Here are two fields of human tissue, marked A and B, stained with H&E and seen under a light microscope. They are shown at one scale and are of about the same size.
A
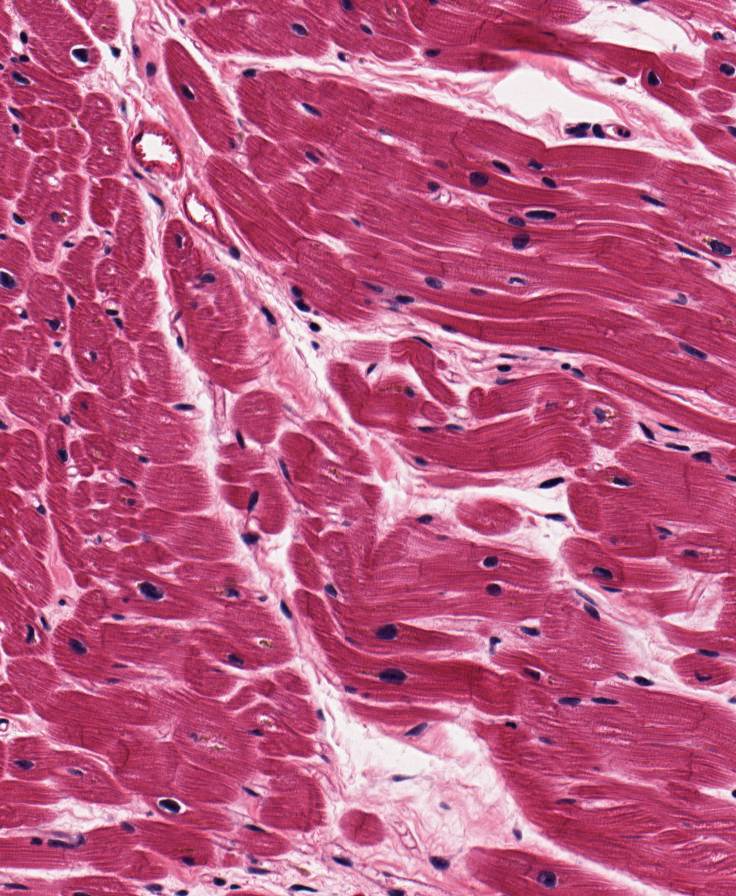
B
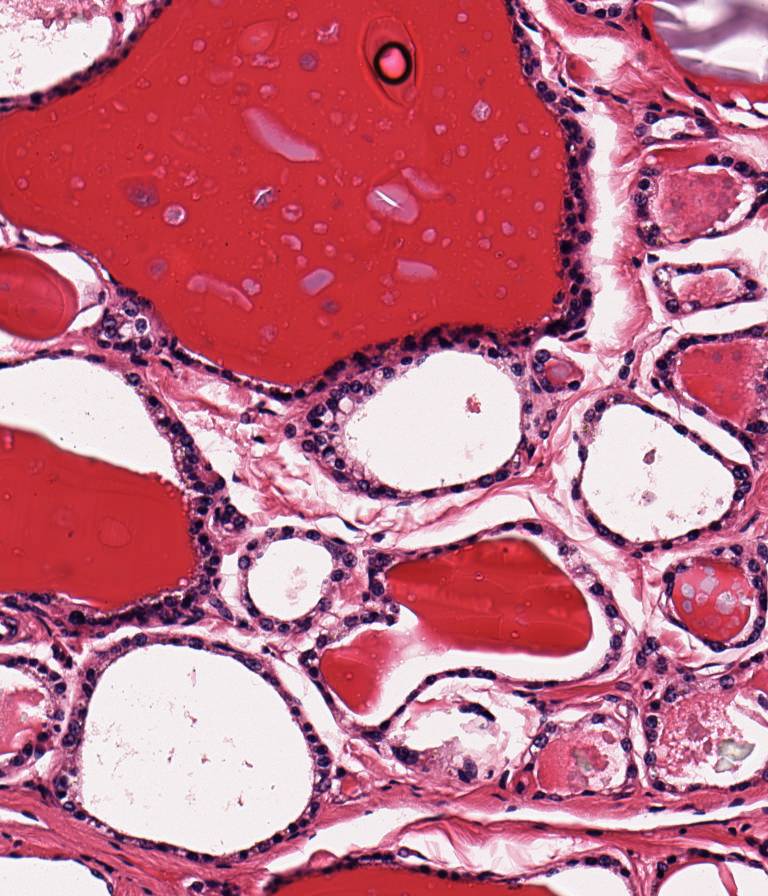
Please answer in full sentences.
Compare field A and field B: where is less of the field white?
Unstained space takes up less of field A than of field B.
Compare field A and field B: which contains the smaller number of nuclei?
It is field A that has fewer nuclei in it.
